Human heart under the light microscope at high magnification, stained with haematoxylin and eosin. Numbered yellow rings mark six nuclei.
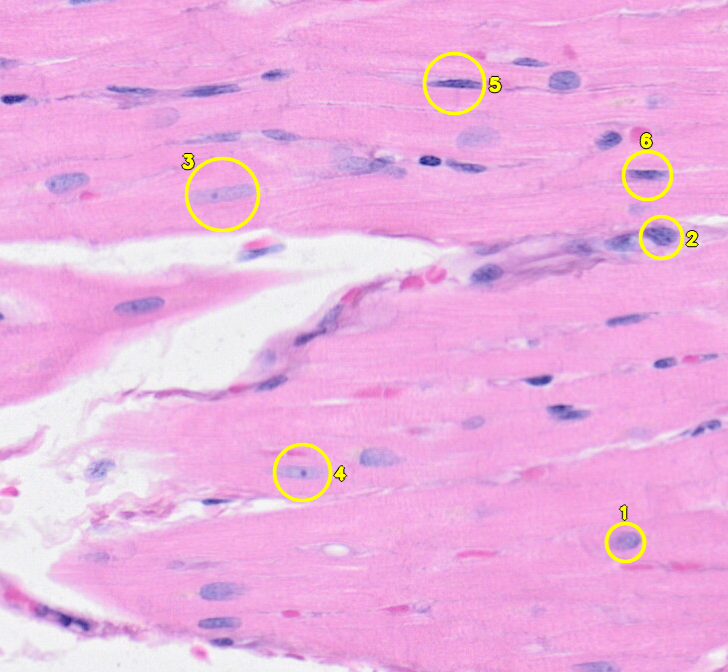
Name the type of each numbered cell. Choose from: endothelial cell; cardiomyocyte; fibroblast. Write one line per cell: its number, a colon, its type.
1: cardiomyocyte
2: endothelial cell
3: cardiomyocyte
4: cardiomyocyte
5: endothelial cell
6: endothelial cell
